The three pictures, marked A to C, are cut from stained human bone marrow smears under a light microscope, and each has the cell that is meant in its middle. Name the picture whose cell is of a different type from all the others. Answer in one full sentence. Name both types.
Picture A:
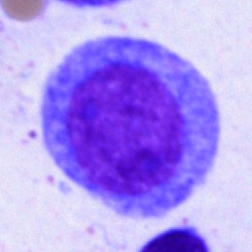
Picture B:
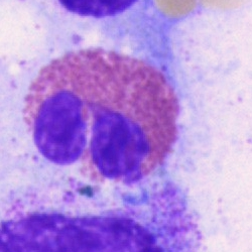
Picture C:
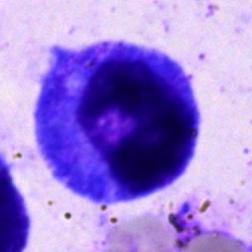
The different one is picture B; it shows an eosinophil, whereas all the others show promyelocytes.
